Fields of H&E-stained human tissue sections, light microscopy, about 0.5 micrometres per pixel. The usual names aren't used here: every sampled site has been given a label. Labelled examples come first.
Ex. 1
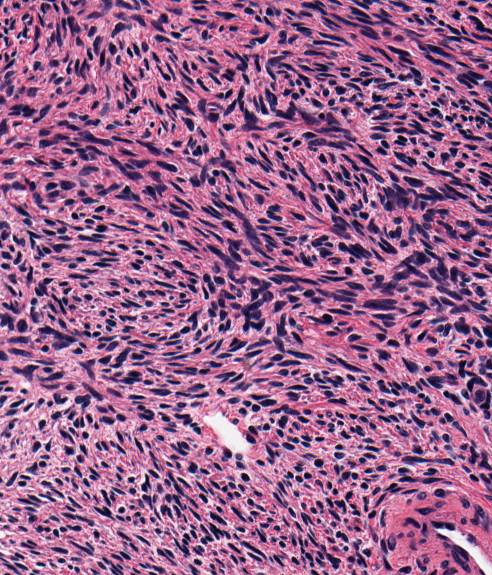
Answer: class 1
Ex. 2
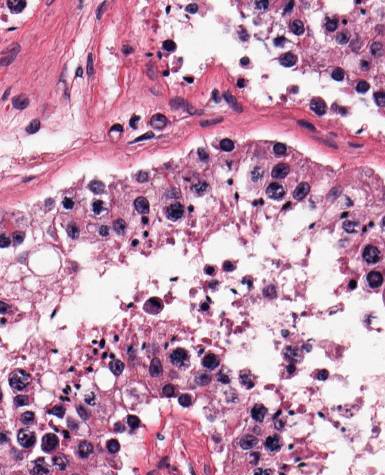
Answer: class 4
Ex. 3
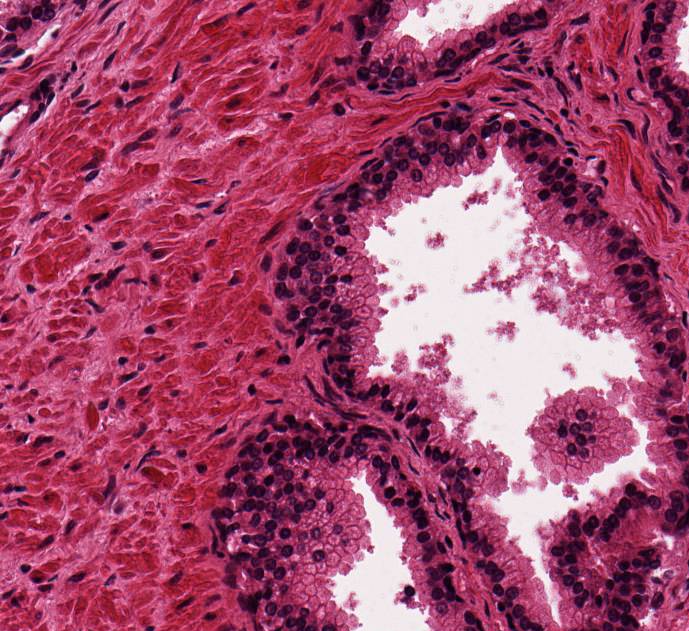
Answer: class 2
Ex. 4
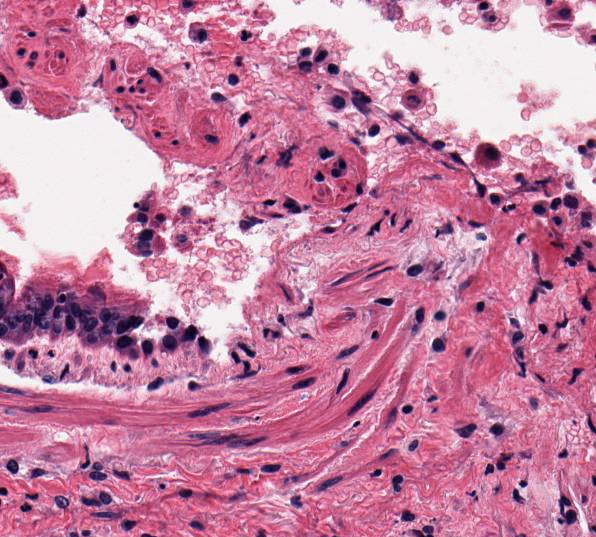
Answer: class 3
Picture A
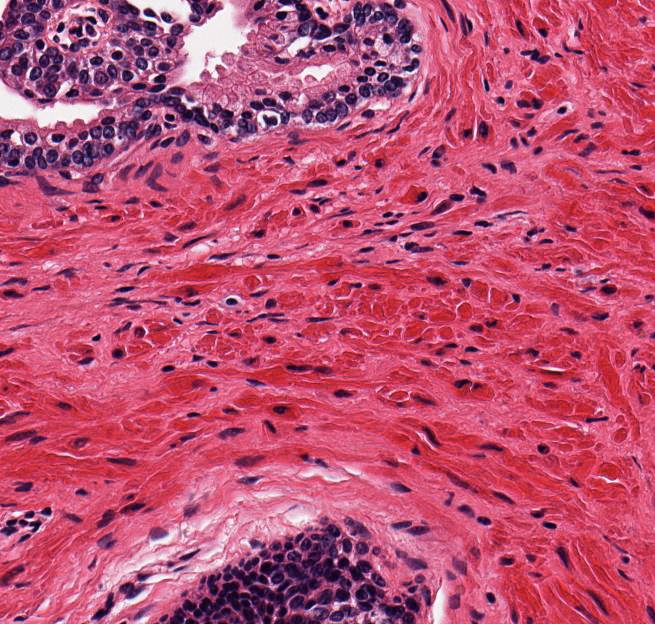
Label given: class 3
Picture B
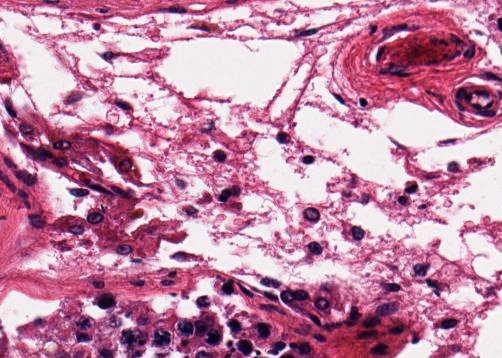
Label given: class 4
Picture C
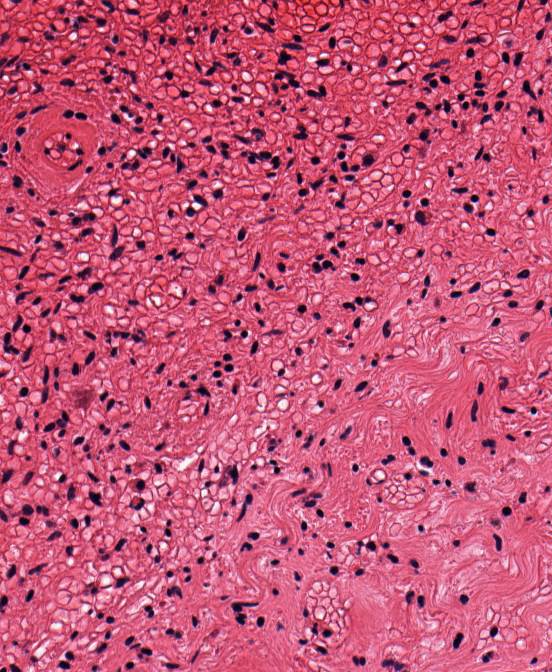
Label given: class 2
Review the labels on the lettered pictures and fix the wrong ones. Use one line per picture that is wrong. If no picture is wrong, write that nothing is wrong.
A: change class 3 to class 2
C: change class 2 to class 1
